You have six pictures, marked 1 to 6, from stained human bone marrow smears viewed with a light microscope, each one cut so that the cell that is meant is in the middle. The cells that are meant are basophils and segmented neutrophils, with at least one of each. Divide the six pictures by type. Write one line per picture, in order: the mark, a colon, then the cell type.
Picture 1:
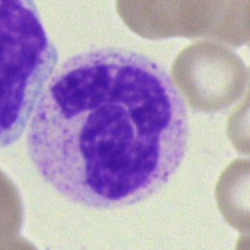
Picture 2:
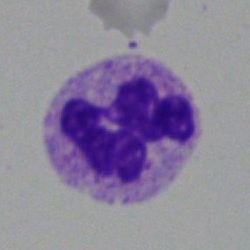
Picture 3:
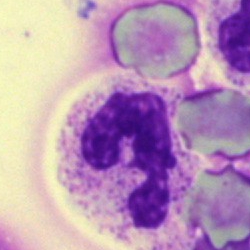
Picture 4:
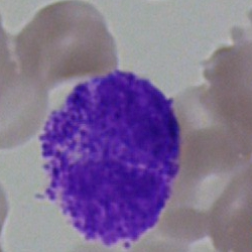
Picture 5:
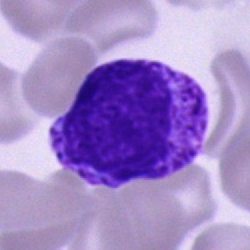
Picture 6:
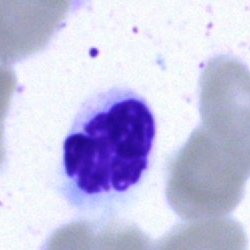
1: segmented neutrophil
2: segmented neutrophil
3: segmented neutrophil
4: basophil
5: basophil
6: segmented neutrophil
